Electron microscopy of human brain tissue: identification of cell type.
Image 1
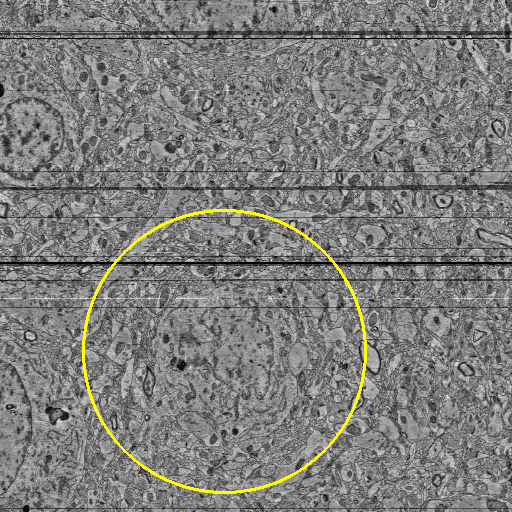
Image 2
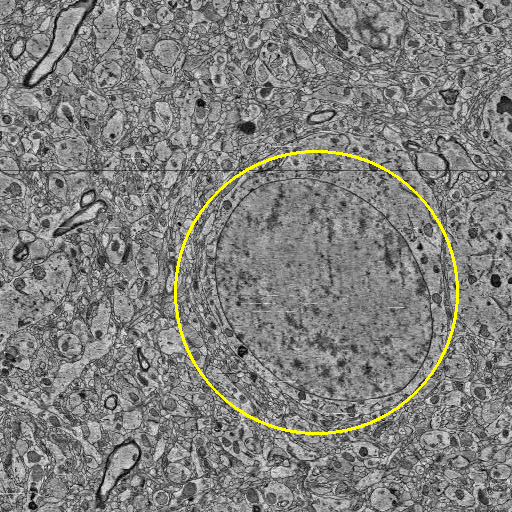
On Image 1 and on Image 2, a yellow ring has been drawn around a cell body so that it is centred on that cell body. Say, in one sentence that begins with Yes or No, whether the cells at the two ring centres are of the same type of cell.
No, the two cells are two separate types of cell.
